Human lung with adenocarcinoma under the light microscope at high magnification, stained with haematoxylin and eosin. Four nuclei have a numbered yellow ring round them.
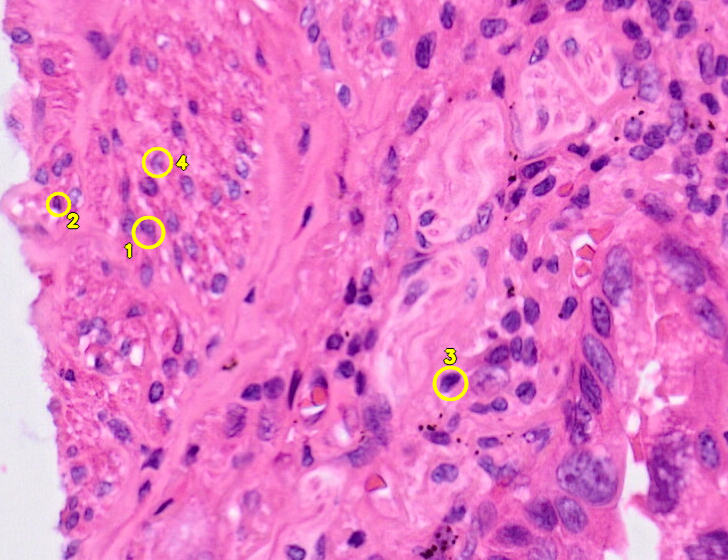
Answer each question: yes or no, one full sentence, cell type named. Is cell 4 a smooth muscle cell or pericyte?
Yes, it checks out; the cell labelled 4 is a smooth muscle cell or pericyte.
